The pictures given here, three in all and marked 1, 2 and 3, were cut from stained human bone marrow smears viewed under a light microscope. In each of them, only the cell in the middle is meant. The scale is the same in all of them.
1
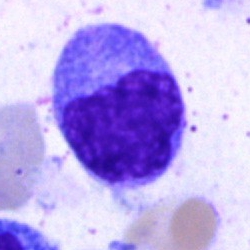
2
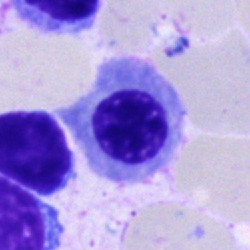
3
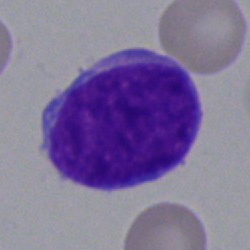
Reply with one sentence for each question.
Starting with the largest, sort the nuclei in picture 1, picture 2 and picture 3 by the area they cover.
The order is 3, 1, 2, beginning with the largest.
